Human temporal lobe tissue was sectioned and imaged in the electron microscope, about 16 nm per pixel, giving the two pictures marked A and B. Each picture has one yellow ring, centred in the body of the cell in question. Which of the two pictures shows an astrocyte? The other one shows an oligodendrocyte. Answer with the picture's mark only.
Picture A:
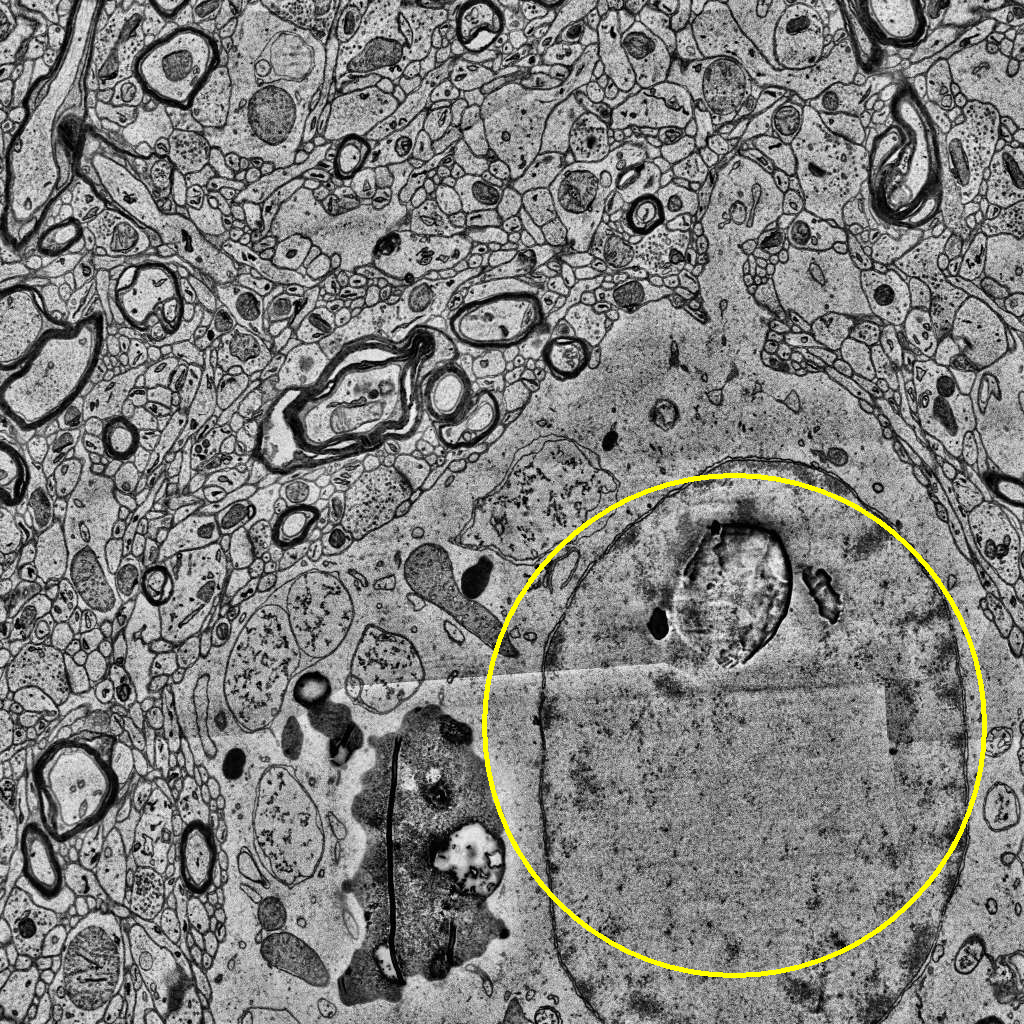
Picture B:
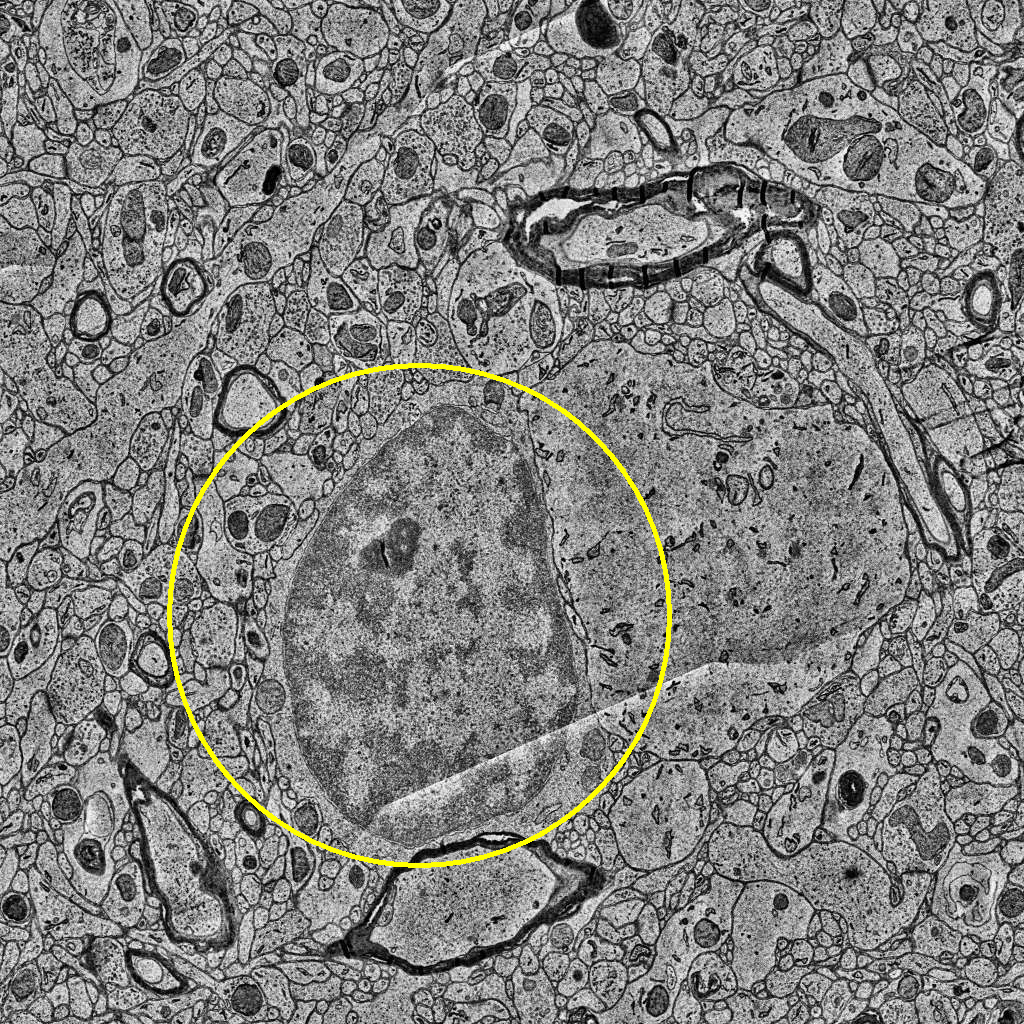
A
